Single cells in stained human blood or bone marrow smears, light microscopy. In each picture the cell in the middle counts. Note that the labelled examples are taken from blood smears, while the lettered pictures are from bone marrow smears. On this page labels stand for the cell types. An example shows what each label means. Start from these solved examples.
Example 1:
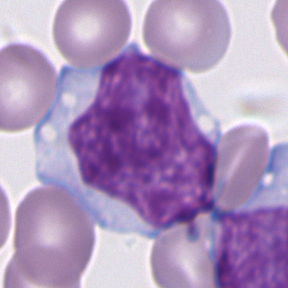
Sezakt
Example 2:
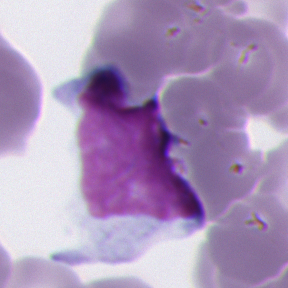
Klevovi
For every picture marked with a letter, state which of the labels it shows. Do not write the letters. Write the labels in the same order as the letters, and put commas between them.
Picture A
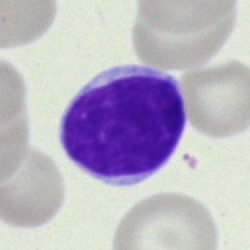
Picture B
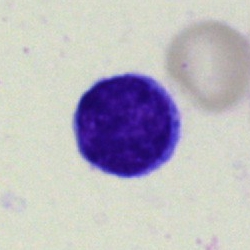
Klevovi, Klevovi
